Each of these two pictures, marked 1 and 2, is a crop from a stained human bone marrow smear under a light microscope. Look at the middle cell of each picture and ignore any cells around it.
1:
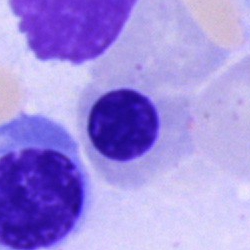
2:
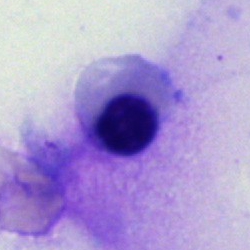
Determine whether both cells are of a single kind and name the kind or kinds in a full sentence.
Yes, in both crops, erythroblasts are the cells at the middle.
